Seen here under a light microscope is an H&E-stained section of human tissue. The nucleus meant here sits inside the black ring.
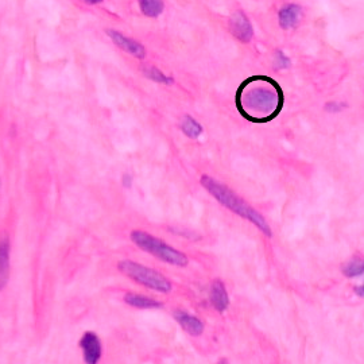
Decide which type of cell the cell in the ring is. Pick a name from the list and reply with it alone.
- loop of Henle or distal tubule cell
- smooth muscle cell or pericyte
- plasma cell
smooth muscle cell or pericyte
